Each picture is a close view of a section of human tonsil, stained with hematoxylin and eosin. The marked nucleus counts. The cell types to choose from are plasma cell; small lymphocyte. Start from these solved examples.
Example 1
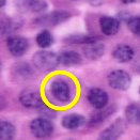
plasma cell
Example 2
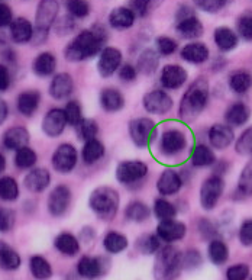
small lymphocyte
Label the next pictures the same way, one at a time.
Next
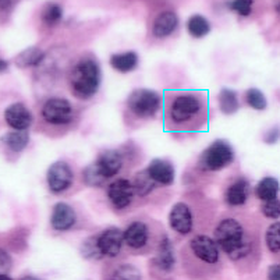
plasma cell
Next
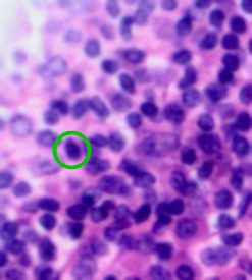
small lymphocyte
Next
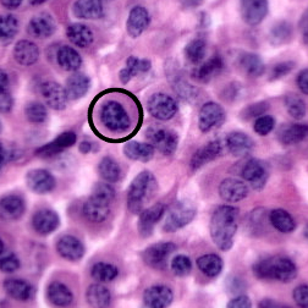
plasma cell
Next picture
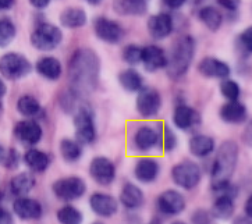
small lymphocyte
